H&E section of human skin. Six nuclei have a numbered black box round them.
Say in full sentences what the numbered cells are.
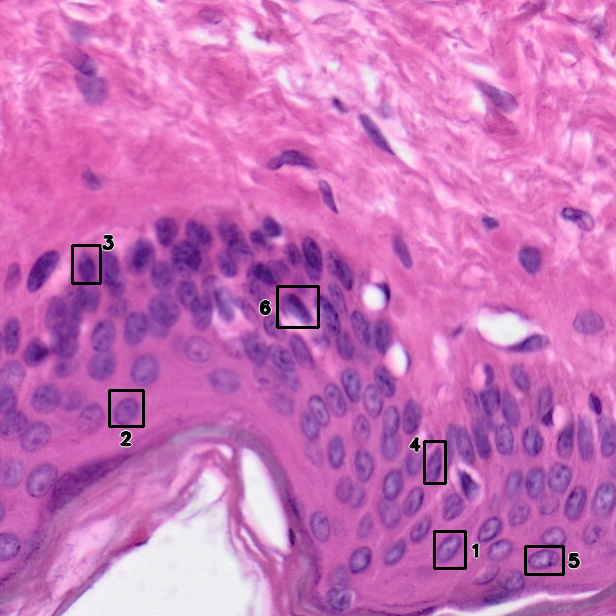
Cell 1 is a suprabasal keratinocyte, cell 2 is a suprabasal keratinocyte, cell 3 is a basal keratinocyte, cell 4 is a basal keratinocyte, cell 5 is a suprabasal keratinocyte and cell 6 is a basal keratinocyte.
